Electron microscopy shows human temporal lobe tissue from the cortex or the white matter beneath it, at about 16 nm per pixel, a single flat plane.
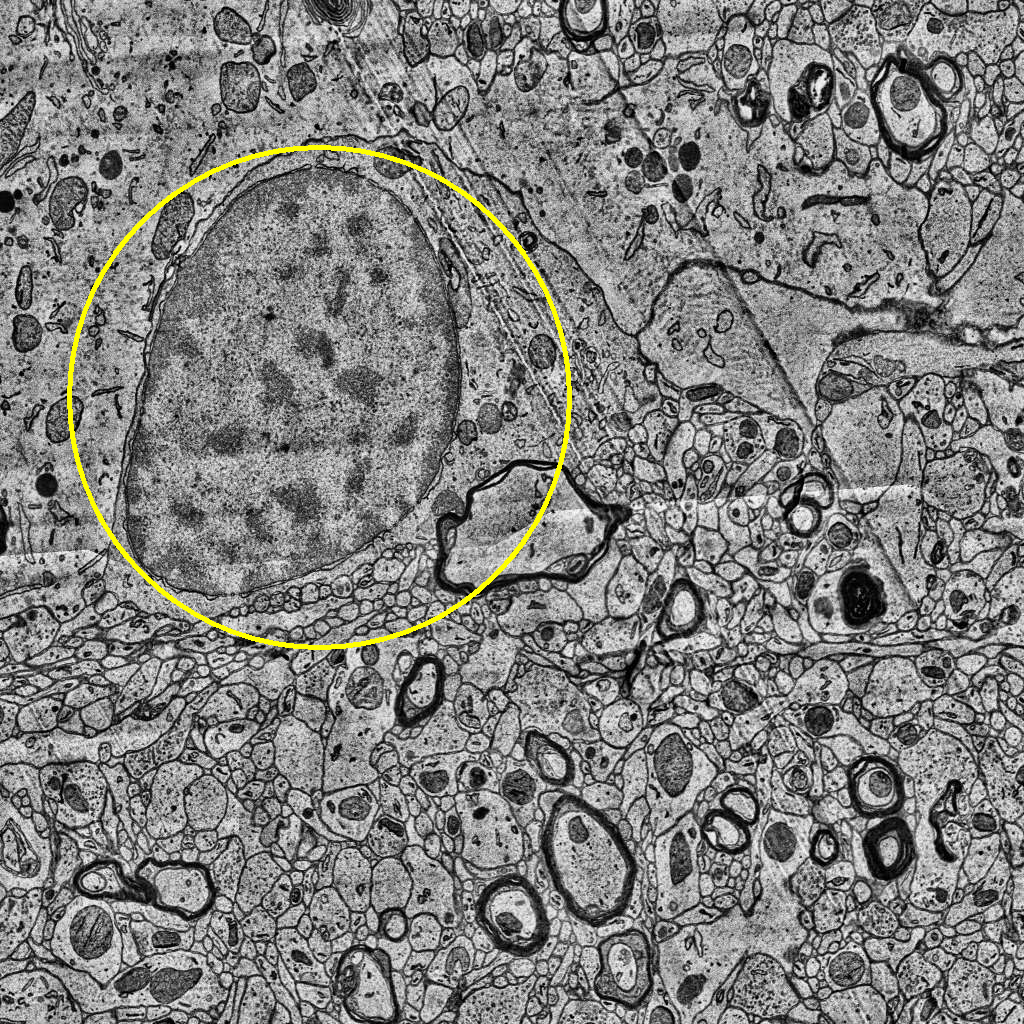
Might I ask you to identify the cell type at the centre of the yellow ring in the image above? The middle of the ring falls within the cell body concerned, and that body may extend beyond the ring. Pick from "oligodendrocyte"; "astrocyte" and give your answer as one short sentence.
The centre of the ring falls on an oligodendrocyte.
